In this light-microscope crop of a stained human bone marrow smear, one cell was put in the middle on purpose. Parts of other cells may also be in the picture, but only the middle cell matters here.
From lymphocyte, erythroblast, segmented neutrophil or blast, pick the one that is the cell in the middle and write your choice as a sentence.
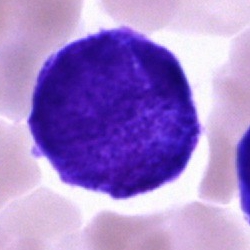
By classification, the middle cell of this crop is a blast.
